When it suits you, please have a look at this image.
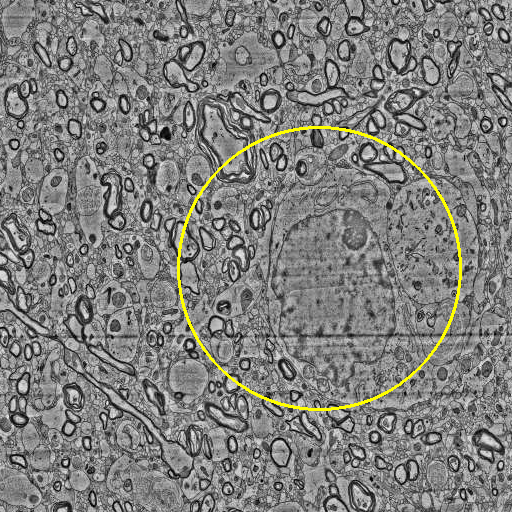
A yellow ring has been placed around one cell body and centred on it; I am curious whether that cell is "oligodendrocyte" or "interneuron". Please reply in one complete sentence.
The ringed cell, an interneuron, has its body at the centre of the yellow ring.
